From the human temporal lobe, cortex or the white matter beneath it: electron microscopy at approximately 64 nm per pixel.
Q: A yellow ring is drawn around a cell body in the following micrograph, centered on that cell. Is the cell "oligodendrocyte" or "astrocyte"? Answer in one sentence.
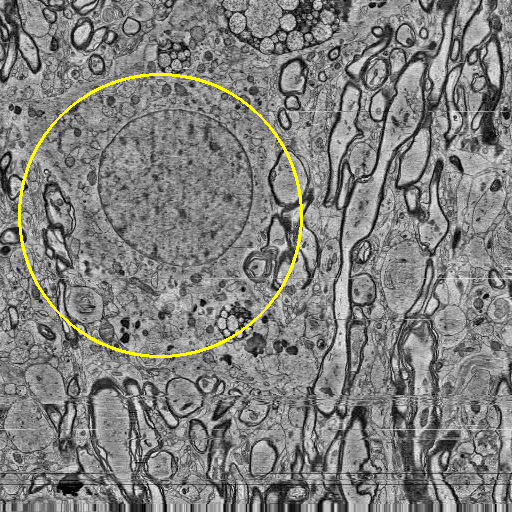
The cell in the center of the ring is an astrocyte.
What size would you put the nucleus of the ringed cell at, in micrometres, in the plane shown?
About 10 micrometres across in this plane.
